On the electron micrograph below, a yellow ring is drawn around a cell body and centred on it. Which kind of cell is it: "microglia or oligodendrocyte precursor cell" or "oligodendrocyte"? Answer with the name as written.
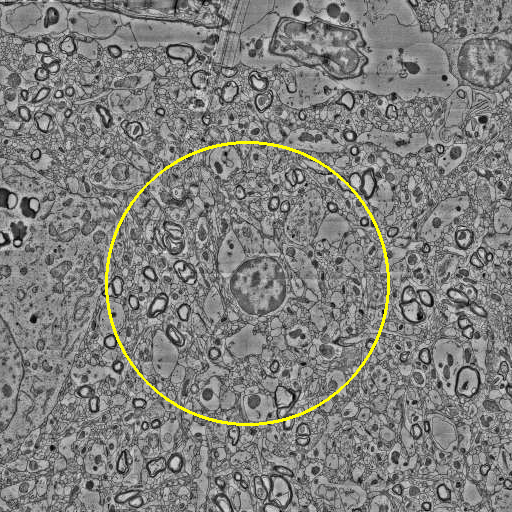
microglia or oligodendrocyte precursor cell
